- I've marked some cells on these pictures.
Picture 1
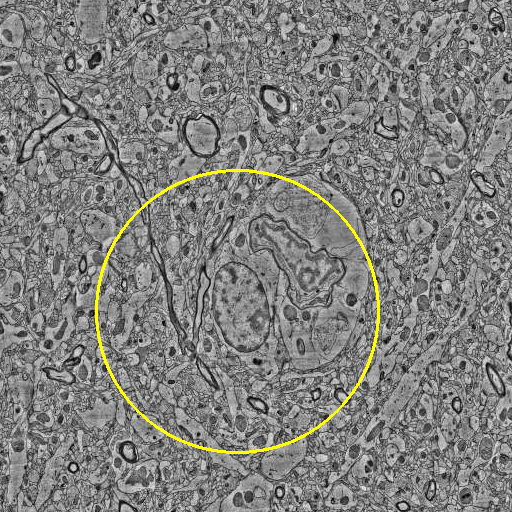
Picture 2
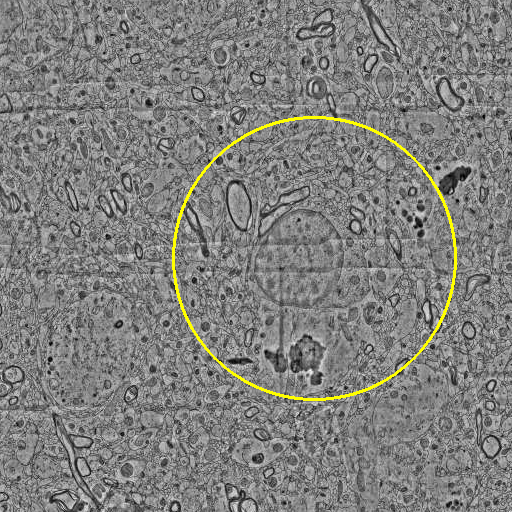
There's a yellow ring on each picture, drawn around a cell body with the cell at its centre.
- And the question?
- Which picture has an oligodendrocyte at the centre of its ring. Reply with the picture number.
2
